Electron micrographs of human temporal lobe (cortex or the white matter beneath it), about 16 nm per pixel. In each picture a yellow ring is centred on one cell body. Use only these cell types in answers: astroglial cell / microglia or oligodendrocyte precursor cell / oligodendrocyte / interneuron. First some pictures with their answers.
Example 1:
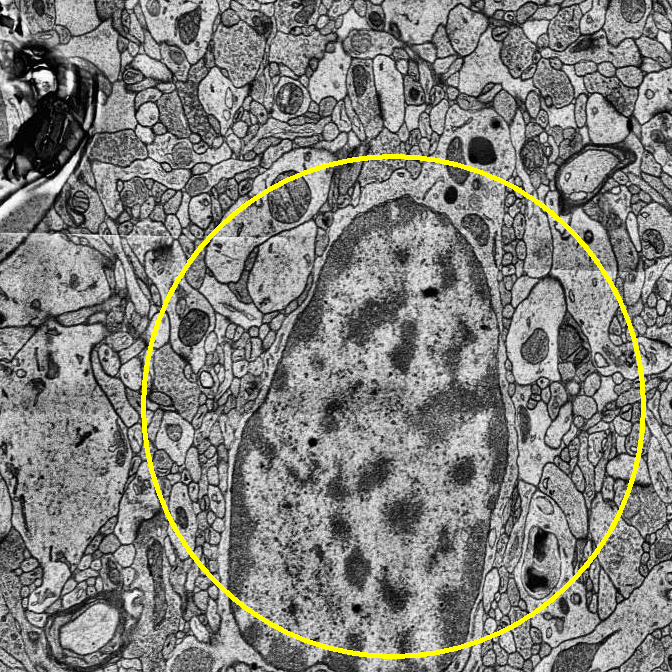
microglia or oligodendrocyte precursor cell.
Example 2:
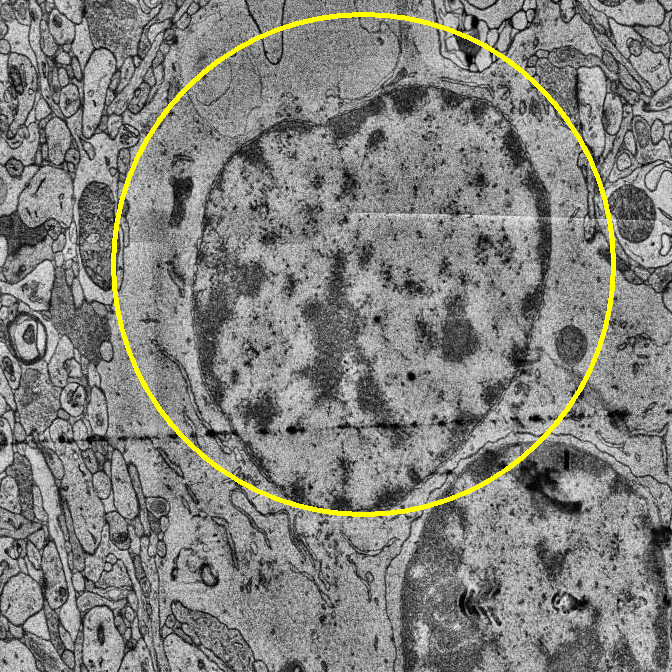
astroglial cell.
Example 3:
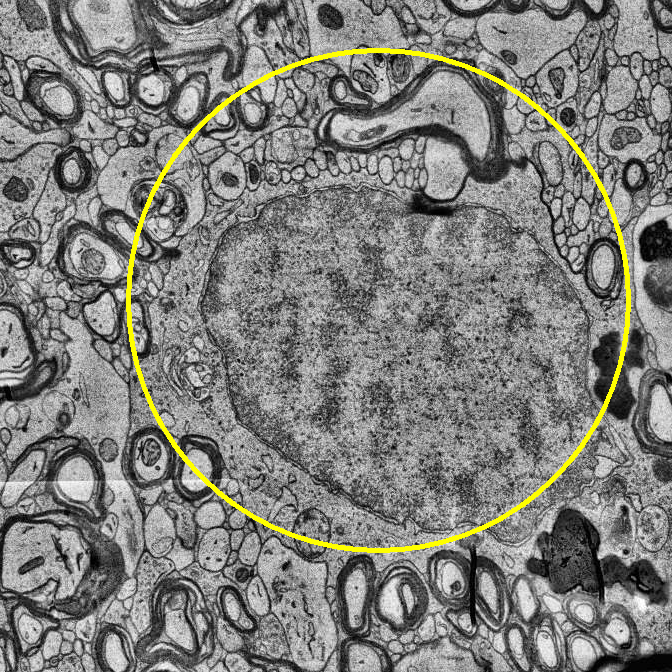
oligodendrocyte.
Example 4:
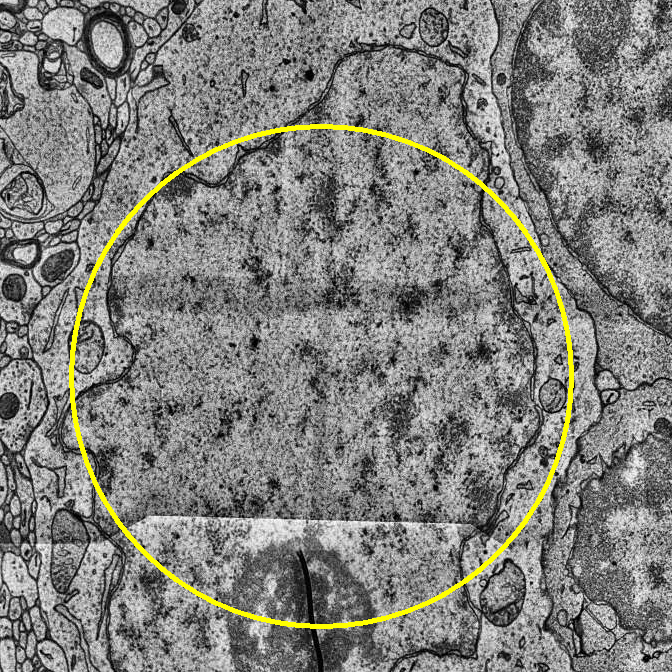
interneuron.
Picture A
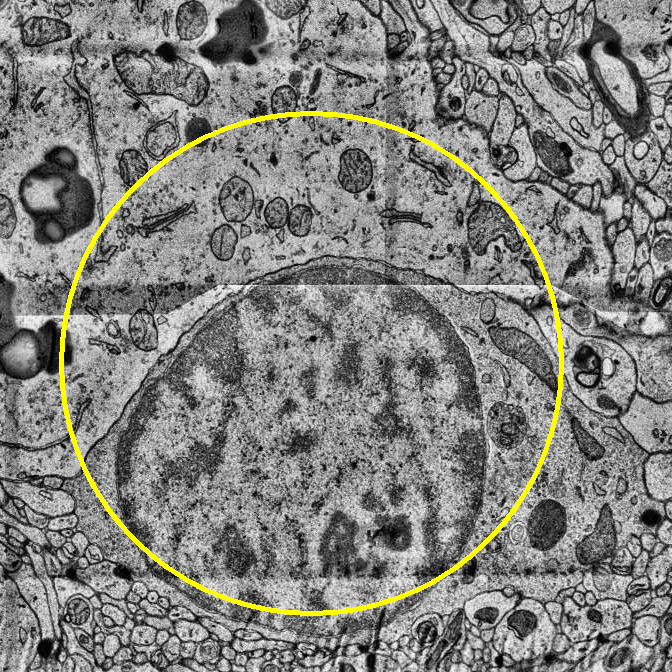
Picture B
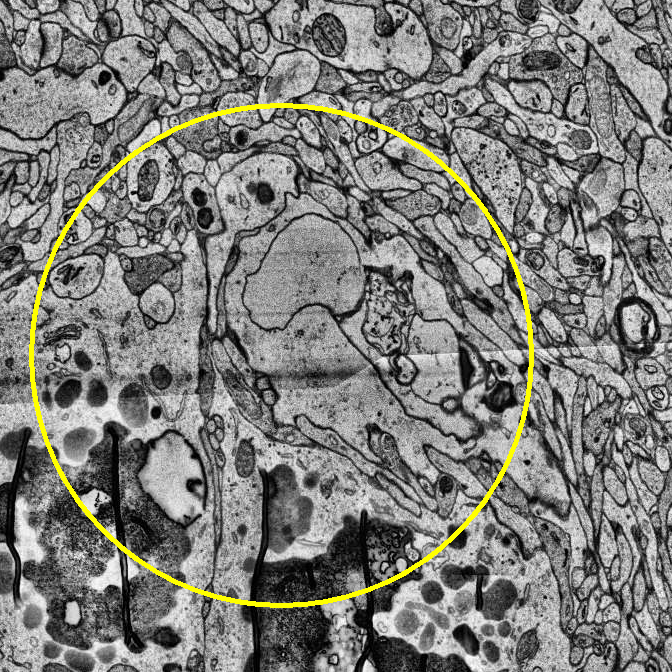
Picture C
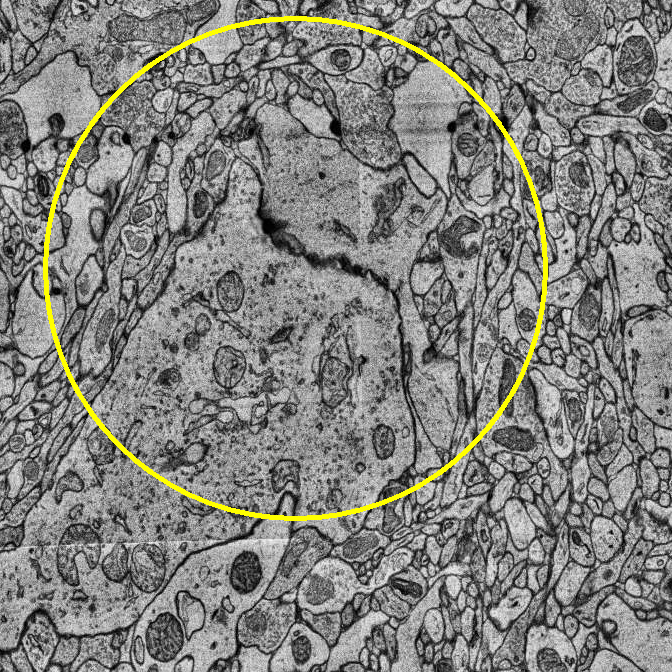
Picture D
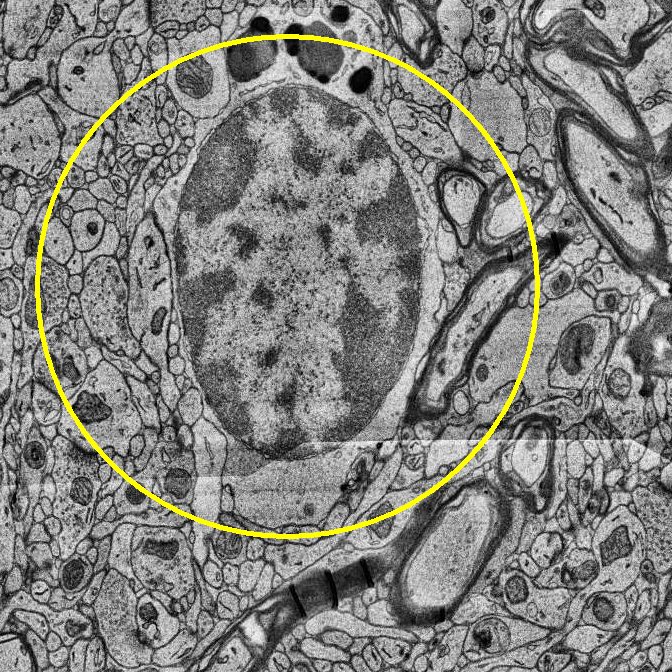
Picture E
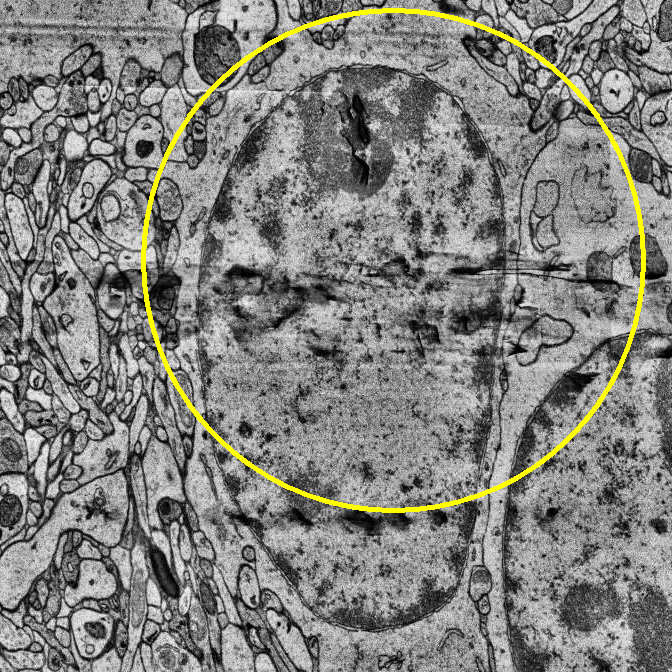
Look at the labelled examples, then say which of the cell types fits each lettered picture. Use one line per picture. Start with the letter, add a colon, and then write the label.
A: oligodendrocyte.
B: astroglial cell.
C: interneuron.
D: microglia or oligodendrocyte precursor cell.
E: astroglial cell.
